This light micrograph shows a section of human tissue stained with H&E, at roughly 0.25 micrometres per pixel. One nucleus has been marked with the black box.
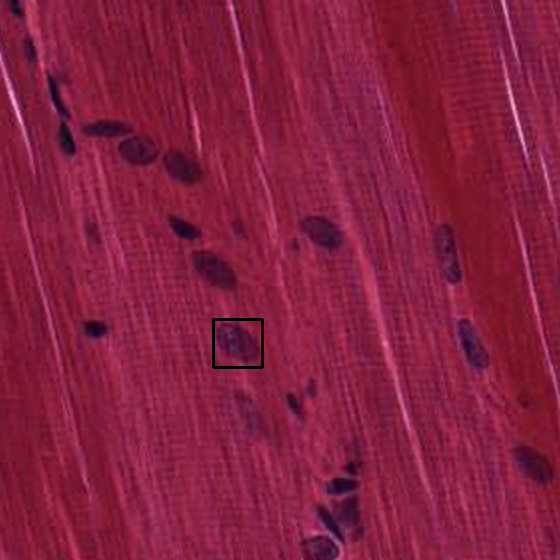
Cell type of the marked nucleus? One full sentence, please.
Within the picture, the marked nucleus belongs to a skeletal muscle fibre.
